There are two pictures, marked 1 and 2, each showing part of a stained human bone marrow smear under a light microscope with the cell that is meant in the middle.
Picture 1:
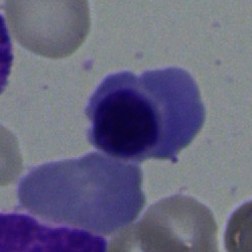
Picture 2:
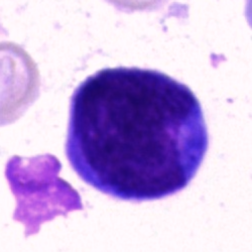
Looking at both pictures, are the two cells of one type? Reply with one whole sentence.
No, the types are not the same, since picture 1 shows an erythroblast and picture 2 a blast.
